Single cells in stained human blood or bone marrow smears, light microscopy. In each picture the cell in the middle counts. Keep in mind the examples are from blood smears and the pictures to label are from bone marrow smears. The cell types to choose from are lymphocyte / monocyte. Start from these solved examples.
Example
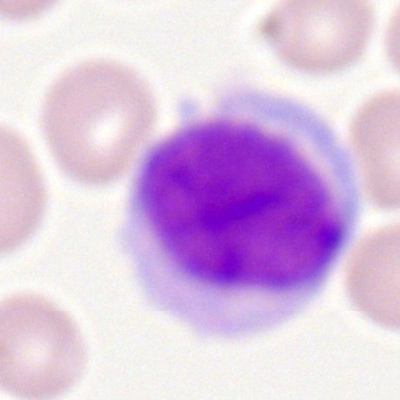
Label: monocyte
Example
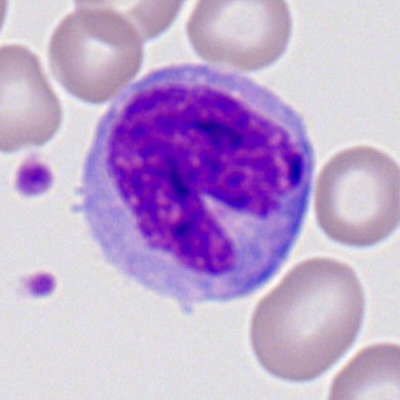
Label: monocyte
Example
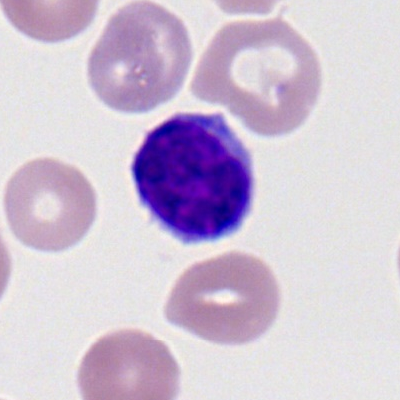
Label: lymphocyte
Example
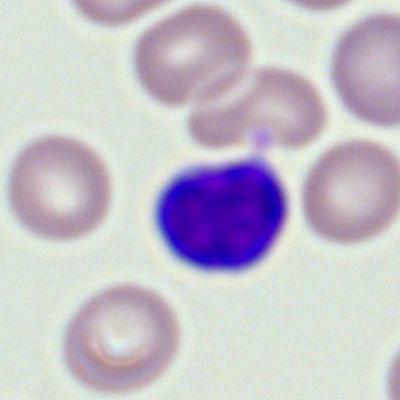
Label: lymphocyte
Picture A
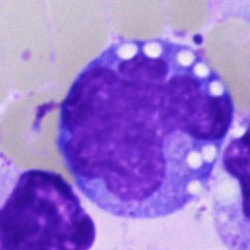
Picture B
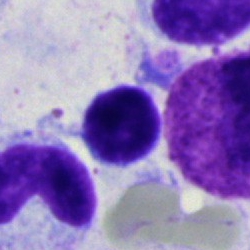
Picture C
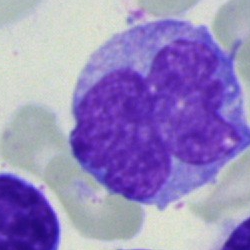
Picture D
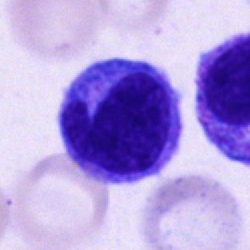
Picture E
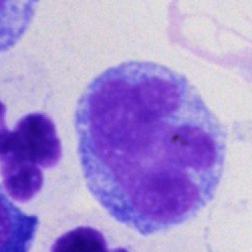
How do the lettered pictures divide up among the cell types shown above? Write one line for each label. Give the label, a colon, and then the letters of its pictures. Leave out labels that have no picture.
lymphocyte: B
monocyte: A, C, D, E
